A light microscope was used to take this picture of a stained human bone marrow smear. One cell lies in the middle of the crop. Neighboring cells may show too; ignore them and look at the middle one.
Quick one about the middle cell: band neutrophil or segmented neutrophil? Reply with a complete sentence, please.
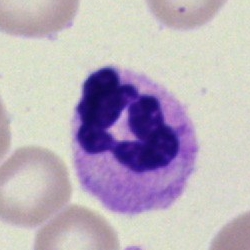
The cell positioned in the middle of the field is a segmented neutrophil.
